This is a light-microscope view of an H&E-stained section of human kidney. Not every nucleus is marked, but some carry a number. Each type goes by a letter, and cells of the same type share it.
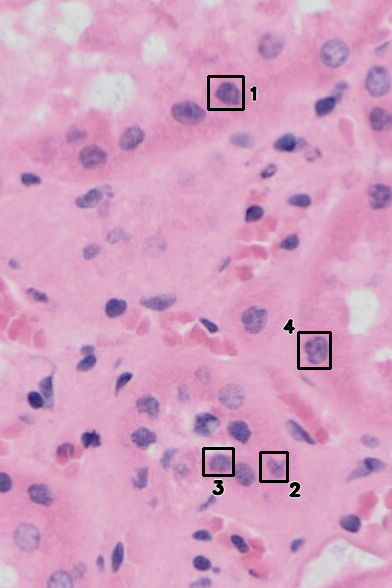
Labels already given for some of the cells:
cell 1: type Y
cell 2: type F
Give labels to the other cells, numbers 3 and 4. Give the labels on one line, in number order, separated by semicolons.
type F; type Y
